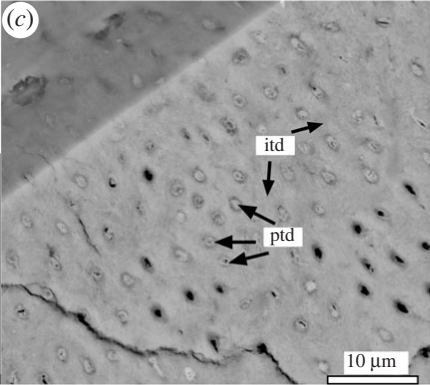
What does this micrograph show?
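This is a cross-section through tooth dentin, a smooth pale grey matrix pierced by many small round openings of dentinal tubules. Many of the openings are surrounded by a thin ring of slightly different texture lining the tubule, distinct from the broader matrix lying between tubules. Some tubule openings appear dark and empty while others look filled. A darker band crosses the upper left corner and thin cracks run across the lower part.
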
